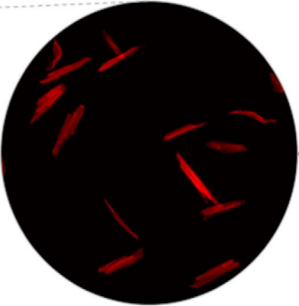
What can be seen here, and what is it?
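Scattered isolated heart muscle cells, the cardiomyocytes, lie apart on a dark background, each filled with red signal. A few cells cross one another or touch at their ends, and the brightness of the red varies from cell to cell.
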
